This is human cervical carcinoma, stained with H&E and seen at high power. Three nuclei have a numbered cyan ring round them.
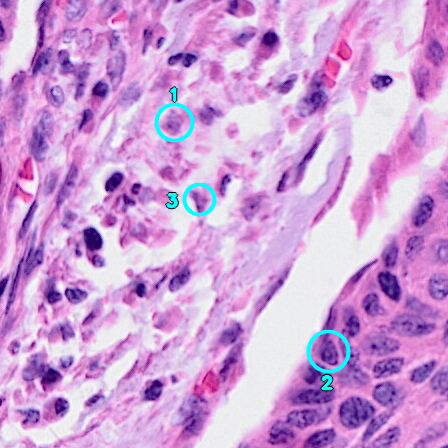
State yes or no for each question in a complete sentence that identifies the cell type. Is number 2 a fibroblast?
No, the cell carrying number 2 is a squamous carcinoma cell rather than a fibroblast.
